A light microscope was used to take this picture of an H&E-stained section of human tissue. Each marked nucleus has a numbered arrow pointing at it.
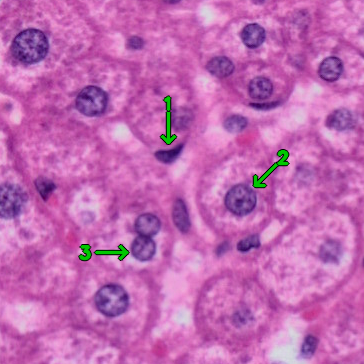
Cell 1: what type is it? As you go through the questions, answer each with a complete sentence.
Here, the cell given the number 1 is a fibroblast or stellate cell.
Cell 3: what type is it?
Cell 3 in the field of view is a hepatocyte.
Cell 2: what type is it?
The numeral 2 marks a hepatocyte in this section.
